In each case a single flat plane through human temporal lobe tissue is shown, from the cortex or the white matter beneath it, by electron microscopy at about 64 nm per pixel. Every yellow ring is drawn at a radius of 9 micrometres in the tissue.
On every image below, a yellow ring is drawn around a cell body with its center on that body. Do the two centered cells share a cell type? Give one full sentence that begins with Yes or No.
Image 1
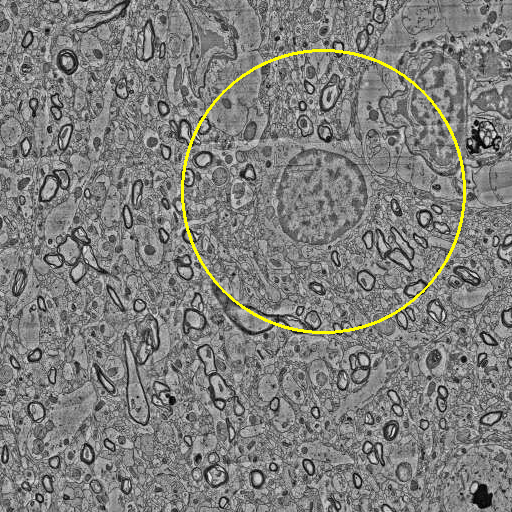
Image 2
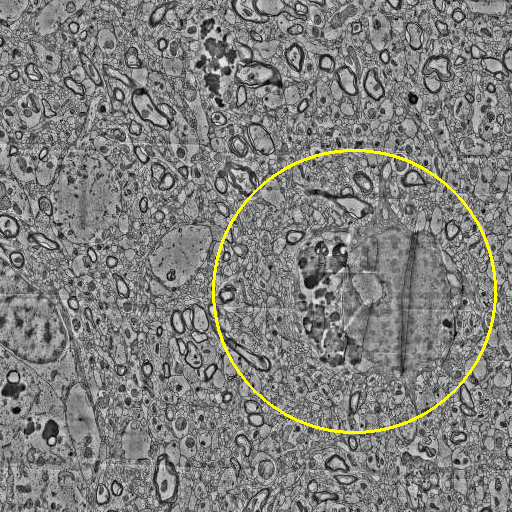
Yes, the centered cells in the two images are of a single cell type.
